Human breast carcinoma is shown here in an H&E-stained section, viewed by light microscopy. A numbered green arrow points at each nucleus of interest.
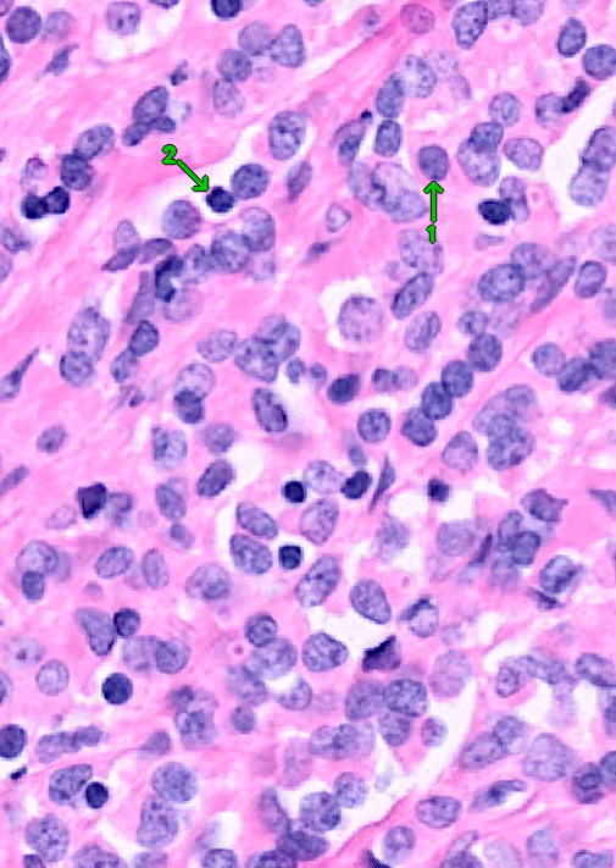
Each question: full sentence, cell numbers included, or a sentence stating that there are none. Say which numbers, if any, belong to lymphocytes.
The cell labelled 2 is a lymphocyte, while the remaining numbered cells are not.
